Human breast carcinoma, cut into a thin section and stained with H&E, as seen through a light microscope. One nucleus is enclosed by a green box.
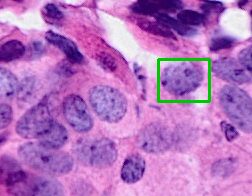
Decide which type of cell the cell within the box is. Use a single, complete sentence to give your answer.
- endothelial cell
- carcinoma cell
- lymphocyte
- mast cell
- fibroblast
What the cell within the box represents is a carcinoma cell.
